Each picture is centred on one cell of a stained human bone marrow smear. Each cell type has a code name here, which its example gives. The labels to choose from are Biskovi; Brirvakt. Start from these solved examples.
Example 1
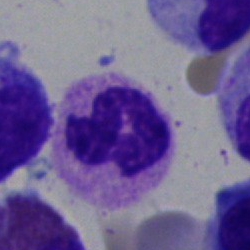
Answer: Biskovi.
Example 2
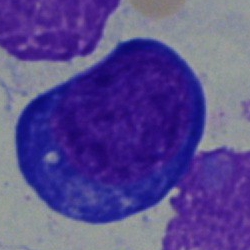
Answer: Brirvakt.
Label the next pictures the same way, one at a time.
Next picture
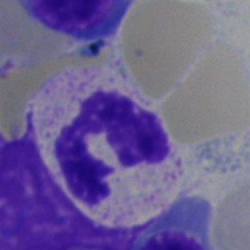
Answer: Biskovi.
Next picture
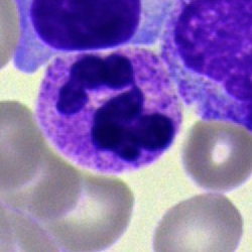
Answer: Biskovi.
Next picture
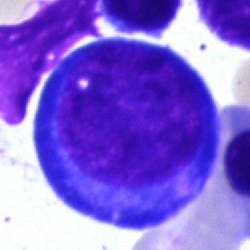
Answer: Brirvakt.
